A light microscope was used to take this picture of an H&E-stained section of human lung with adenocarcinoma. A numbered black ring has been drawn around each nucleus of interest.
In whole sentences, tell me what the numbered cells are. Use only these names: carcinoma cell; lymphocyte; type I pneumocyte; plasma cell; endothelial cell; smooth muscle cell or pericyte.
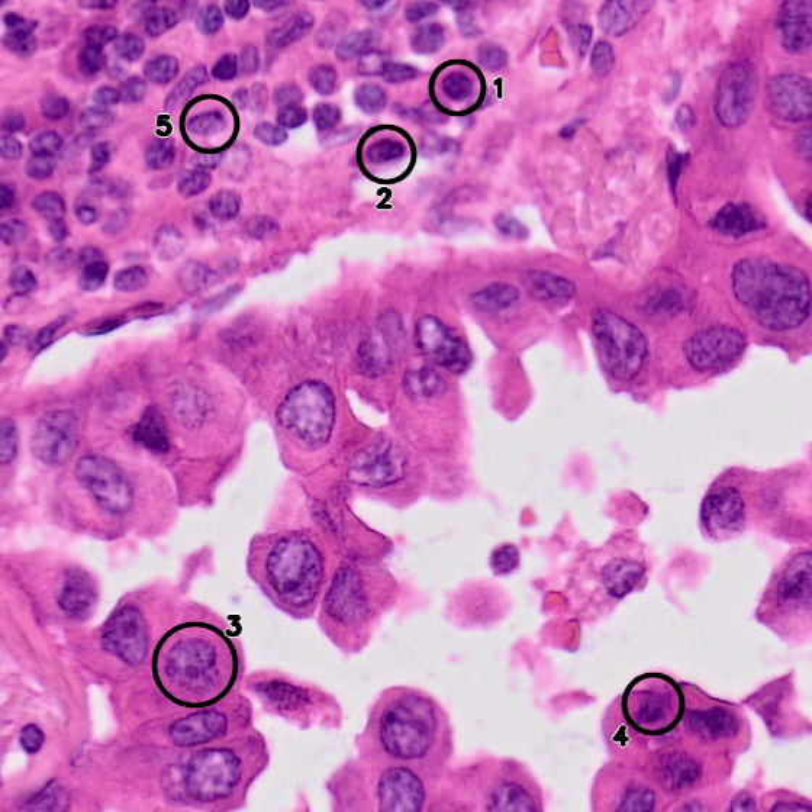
Cell 1 is a plasma cell, cell 2 is a plasma cell, cell 3 is a carcinoma cell, cell 4 is a carcinoma cell and cell 5 is a lymphocyte.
